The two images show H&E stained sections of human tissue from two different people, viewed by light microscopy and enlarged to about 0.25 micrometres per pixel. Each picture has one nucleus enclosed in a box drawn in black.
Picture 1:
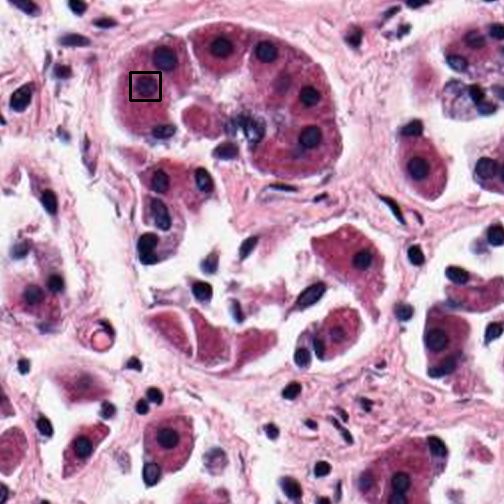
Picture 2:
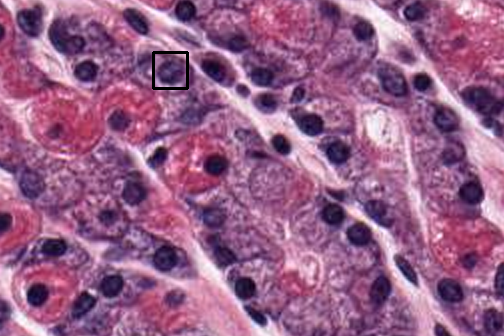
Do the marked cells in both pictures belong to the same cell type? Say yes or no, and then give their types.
No, the first is a parietal cell and the second a chief cell.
